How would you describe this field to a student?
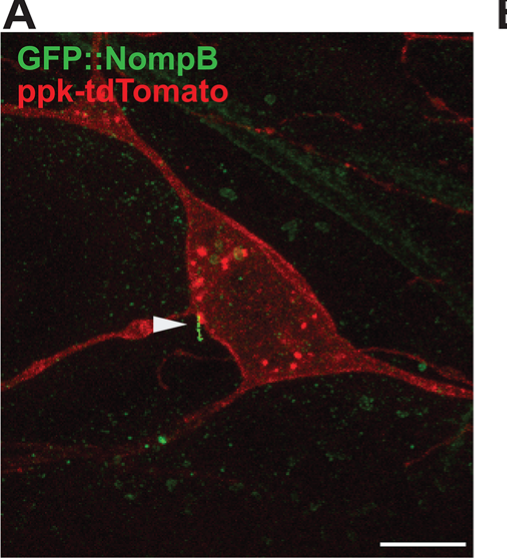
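A single sensory neuron is outlined in red, with a roughly triangular cell body from which several long, thin processes branch off to the left, top and right. The cell body holds scattered bright red puncta, and at the base of one process on its left side lies a short, thin green linear structure. Fine green dots are scattered over the surrounding tissue.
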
